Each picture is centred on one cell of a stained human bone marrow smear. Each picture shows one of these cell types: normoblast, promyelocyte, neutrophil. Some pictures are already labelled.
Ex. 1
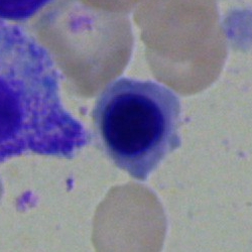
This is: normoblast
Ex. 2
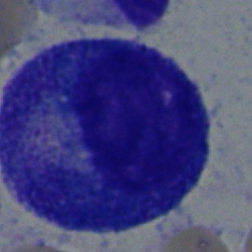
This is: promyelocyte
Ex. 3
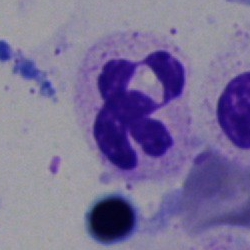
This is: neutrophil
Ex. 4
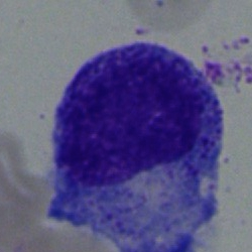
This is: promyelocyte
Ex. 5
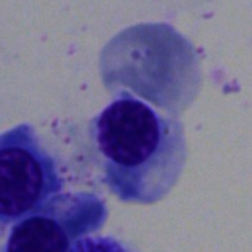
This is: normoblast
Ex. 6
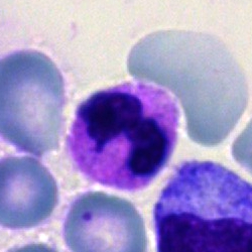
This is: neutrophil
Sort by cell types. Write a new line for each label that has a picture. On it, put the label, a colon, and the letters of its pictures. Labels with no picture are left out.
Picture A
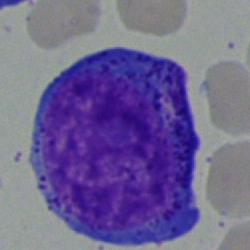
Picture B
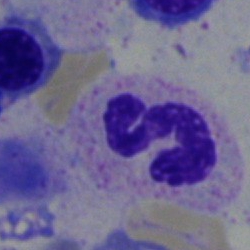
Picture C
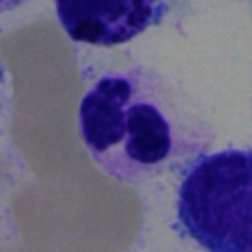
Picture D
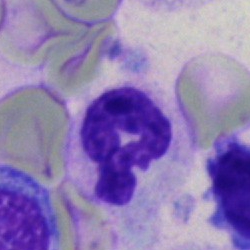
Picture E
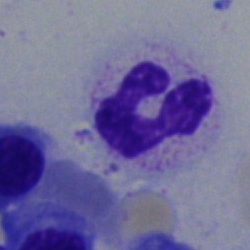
promyelocyte: A
neutrophil: B, C, D, E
